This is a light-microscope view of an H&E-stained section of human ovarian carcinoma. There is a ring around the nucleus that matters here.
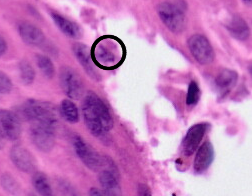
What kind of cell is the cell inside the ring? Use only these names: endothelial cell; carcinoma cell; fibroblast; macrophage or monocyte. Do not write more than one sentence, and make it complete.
In this field of tissue, the cell inside the ring is a macrophage or monocyte.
